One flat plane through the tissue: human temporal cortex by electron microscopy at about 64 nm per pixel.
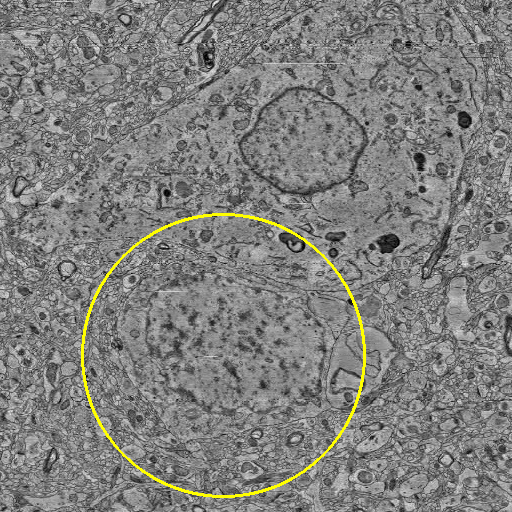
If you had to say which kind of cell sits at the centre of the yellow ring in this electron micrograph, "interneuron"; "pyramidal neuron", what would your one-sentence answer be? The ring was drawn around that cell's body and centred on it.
The cell sitting at the centre of the ring is an interneuron.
